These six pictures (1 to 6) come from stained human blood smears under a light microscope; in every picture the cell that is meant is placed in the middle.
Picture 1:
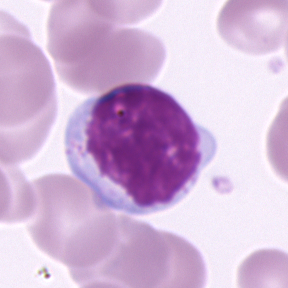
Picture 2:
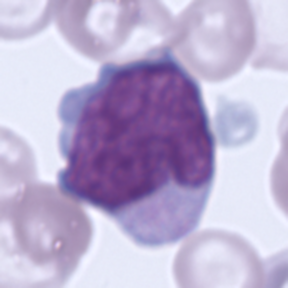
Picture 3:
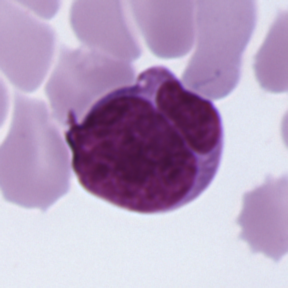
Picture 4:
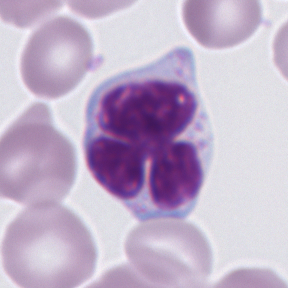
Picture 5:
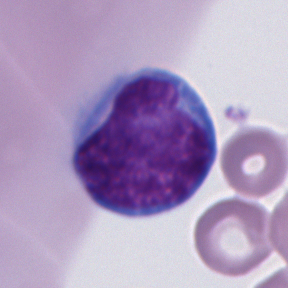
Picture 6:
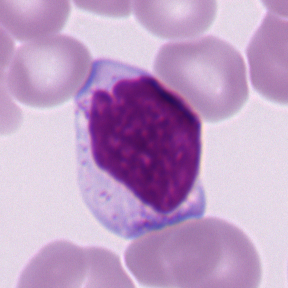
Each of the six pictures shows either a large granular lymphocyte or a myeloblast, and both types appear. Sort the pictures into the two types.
1: large granular lymphocyte
2: myeloblast
3: myeloblast
4: large granular lymphocyte
5: myeloblast
6: large granular lymphocyte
